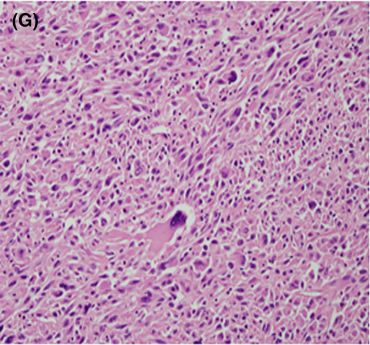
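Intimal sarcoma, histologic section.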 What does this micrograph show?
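Here the tumour is composed of densely packed pleomorphic cells with abundant pink cytoplasm. The cells vary in size and shape, some plump and polygonal, others drawn out, and their nuclei differ in size and darkness. Near the lower middle lies a striking large cell with a dark, irregular, bizarre nucleus and a generous eosinophilic cytoplasmic tail. The bright pink, dense cytoplasm of many cells suggests a muscle-like differentiation of the tumour cells. There is little stroma between the cells, and no clear architectural pattern.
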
